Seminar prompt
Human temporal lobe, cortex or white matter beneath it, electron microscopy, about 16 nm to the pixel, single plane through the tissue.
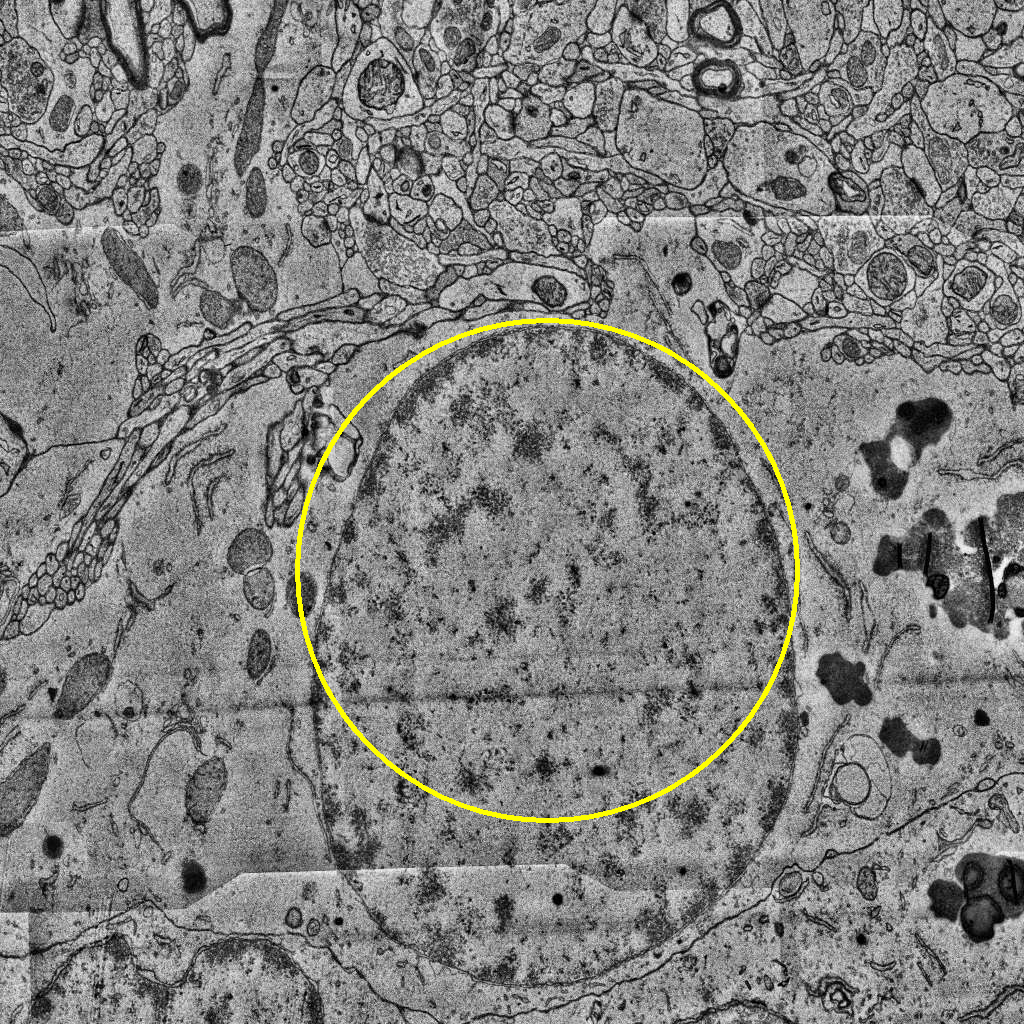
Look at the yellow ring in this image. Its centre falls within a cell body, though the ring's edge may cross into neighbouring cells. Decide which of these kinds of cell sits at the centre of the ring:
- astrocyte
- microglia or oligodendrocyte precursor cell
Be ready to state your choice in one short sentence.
The kind of cell at the ring's centre is an astrocyte.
